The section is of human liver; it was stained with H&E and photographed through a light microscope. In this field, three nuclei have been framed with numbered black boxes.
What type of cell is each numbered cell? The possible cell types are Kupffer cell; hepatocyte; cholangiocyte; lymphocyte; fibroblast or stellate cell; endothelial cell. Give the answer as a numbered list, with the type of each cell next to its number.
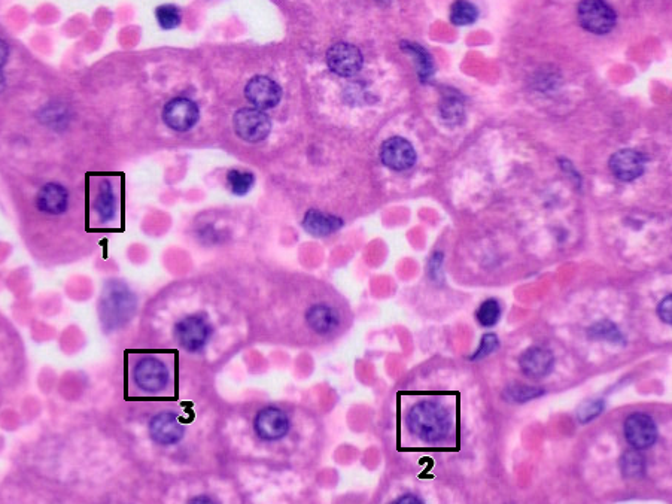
1. fibroblast or stellate cell
2. hepatocyte
3. hepatocyte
